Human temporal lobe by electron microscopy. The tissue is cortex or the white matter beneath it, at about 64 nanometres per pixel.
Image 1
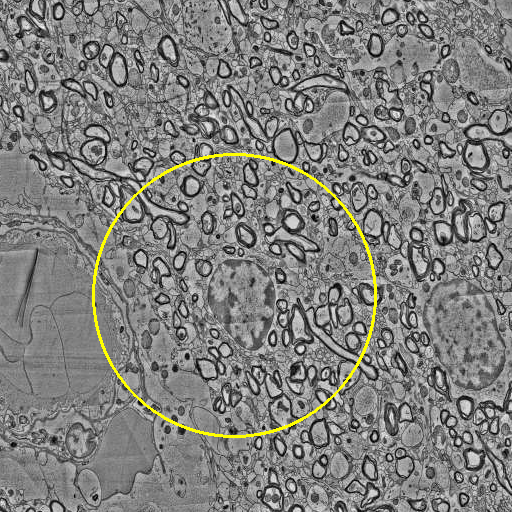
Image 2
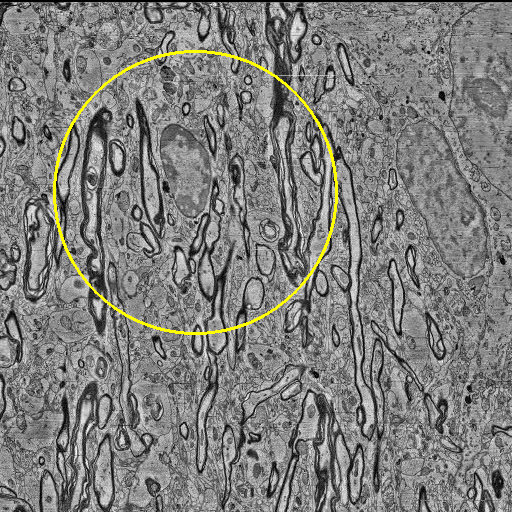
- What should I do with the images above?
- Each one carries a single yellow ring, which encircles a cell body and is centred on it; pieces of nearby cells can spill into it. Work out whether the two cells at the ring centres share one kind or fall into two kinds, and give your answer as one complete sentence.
The ring-centre cells of Image 1 and Image 2 share one kind.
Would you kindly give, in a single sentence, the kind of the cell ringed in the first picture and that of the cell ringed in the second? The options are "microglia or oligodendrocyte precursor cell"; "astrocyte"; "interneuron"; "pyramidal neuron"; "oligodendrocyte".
In both pictures the ring is centred on a microglial cell or oligodendrocyte precursor cell.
